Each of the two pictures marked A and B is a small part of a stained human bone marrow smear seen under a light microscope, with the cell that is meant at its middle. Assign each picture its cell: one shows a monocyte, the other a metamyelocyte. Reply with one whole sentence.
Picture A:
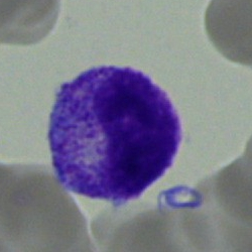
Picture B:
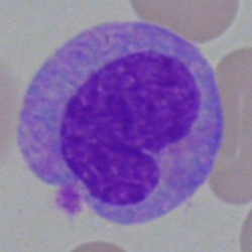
Picture B shows a monocyte, while picture A shows a metamyelocyte.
